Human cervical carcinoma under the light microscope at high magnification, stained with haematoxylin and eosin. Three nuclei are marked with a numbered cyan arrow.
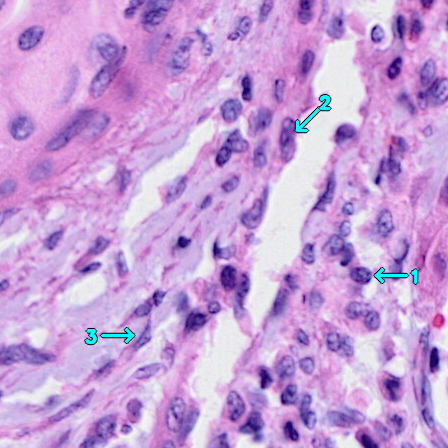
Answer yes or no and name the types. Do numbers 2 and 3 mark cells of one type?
No: cell 2 is an endothelial cell, while cell 3 is a fibroblast.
